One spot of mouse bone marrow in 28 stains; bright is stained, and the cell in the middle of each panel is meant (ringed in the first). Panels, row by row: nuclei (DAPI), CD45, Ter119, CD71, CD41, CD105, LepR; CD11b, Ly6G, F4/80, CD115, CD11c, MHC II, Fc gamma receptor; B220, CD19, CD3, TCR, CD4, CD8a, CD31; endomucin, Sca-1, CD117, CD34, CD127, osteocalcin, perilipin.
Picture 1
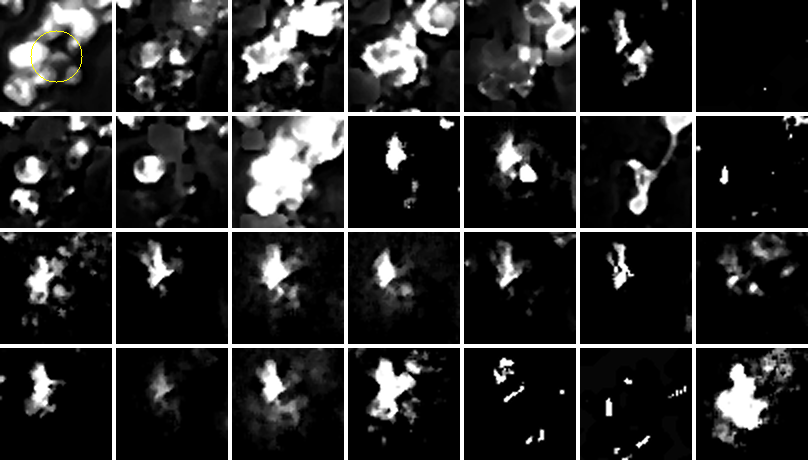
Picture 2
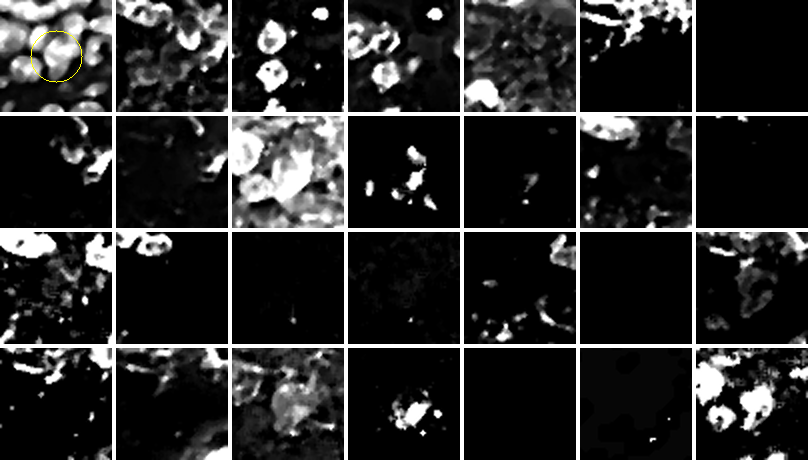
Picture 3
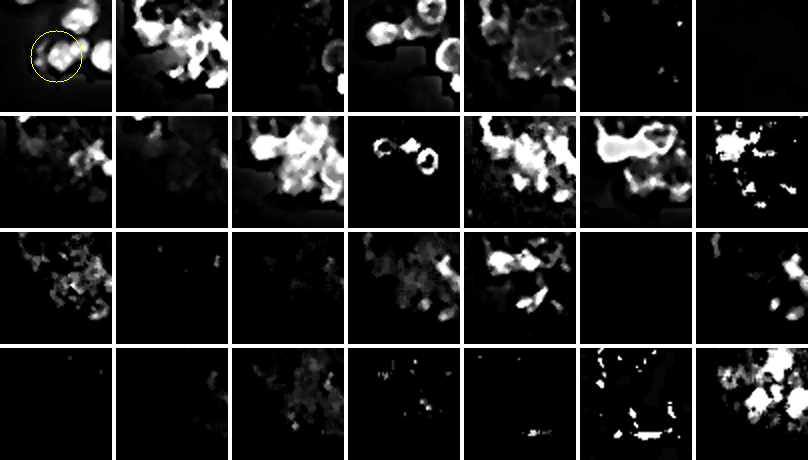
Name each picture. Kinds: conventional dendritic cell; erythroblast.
1. conventional dendritic cell
2. erythroblast
3. conventional dendritic cell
